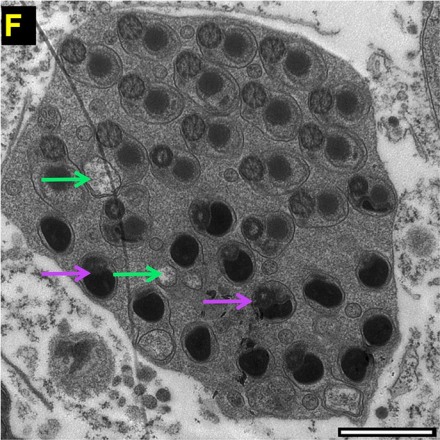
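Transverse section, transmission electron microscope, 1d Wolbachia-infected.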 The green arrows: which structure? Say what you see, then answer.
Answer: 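The arrows point to small pale, clear spaces within the cyst.
Hence: vacuoles.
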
